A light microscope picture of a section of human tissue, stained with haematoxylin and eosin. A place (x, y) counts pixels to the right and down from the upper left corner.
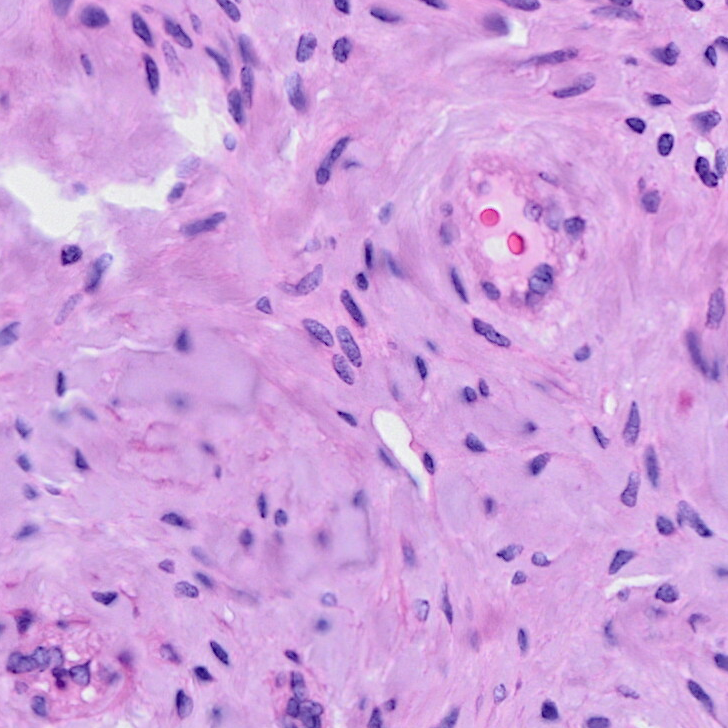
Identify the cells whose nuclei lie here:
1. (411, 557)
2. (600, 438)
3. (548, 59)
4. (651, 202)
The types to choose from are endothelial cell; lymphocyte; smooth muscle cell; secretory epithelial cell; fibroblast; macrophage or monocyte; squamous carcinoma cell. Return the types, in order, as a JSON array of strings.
["smooth muscle cell", "fibroblast", "fibroblast", "fibroblast"]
